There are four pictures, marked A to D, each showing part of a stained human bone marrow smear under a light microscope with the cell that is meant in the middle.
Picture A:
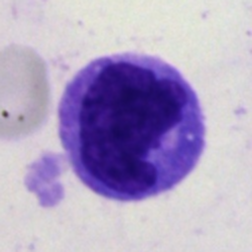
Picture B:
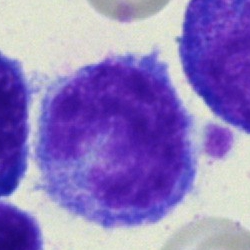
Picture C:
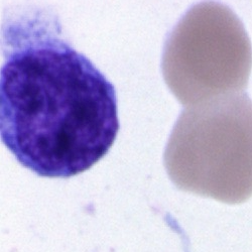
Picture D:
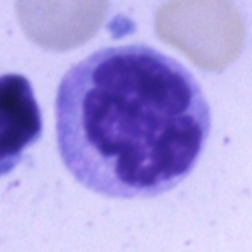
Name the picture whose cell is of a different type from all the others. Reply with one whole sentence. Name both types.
The others show monocytes, but picture C shows a blast.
